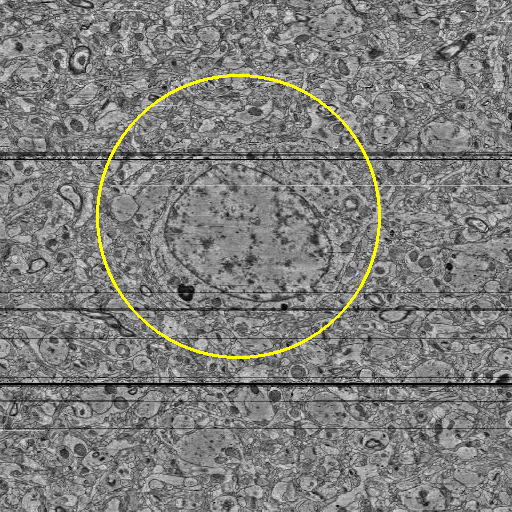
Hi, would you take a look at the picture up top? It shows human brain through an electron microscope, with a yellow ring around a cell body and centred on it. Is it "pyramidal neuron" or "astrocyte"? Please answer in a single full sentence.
The best fit for the cell in the middle of the ring is a pyramidal neuron, I reckon.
